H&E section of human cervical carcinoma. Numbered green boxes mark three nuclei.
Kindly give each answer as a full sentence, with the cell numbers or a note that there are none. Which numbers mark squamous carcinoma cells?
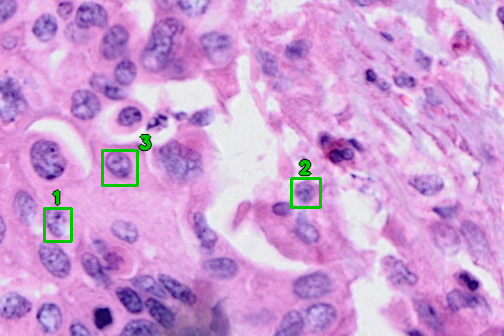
Cells that were given the numbers 1 and 3 are squamous carcinoma cells.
